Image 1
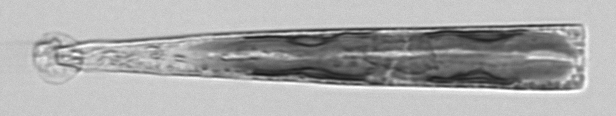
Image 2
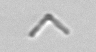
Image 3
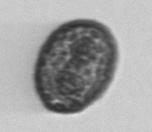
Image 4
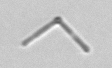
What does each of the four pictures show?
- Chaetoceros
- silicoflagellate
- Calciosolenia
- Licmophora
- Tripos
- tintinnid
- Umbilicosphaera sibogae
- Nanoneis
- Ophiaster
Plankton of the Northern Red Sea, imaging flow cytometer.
Picture 1: Licmophora
Picture 2: Nanoneis
Picture 3: Umbilicosphaera sibogae
Picture 4: Nanoneis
